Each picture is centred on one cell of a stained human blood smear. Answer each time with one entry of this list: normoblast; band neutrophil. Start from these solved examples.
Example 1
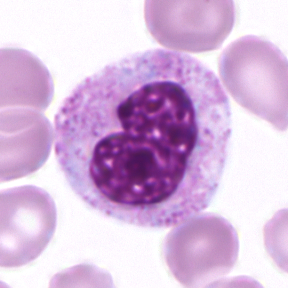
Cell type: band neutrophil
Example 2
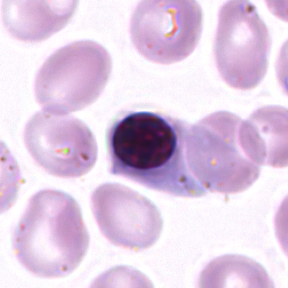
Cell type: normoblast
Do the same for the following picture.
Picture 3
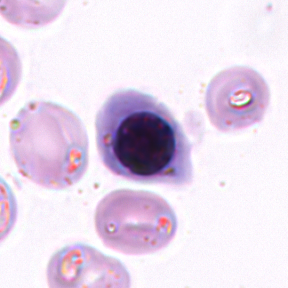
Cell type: normoblast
